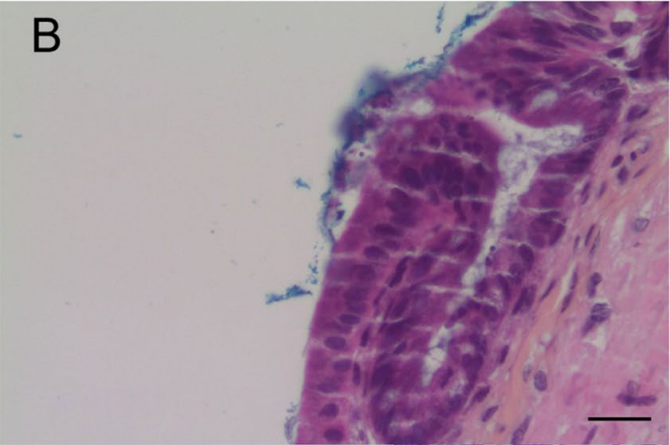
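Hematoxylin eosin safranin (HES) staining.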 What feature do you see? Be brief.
crypt-like structures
